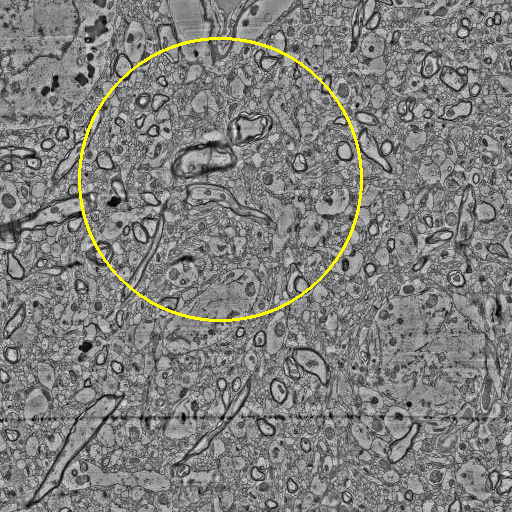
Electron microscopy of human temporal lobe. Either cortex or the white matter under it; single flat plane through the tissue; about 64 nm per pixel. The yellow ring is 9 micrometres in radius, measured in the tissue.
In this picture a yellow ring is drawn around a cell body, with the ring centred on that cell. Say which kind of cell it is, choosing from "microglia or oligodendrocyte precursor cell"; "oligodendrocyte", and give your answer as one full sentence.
Here it is an oligodendrocyte that sits at the centre of the drawn yellow ring.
